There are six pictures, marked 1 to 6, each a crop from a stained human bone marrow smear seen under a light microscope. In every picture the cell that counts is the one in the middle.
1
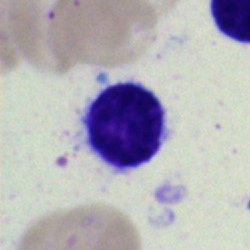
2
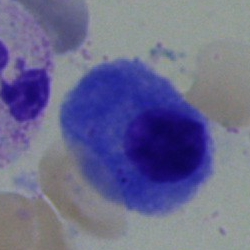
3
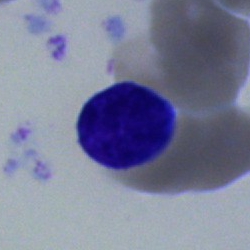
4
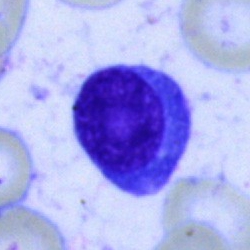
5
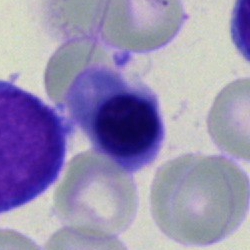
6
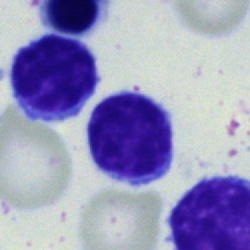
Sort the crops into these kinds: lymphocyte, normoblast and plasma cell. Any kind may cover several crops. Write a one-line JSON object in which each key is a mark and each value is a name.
{"1": "lymphocyte", "2": "plasma cell", "3": "lymphocyte", "4": "plasma cell", "5": "normoblast", "6": "lymphocyte"}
